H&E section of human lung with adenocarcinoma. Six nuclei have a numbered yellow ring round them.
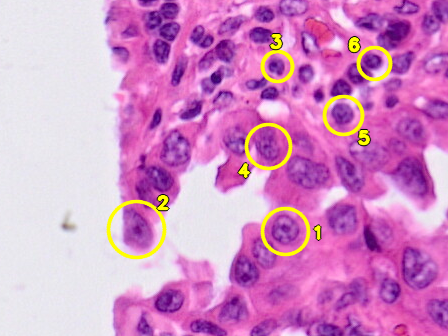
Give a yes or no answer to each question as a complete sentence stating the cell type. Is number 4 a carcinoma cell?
Yes, the cell that goes by number 4 is a carcinoma cell.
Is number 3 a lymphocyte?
Yes, cell number 3 in this section is a lymphocyte.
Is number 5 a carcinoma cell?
No, it is not a carcinoma cell that bears number 5 but a lymphocyte.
